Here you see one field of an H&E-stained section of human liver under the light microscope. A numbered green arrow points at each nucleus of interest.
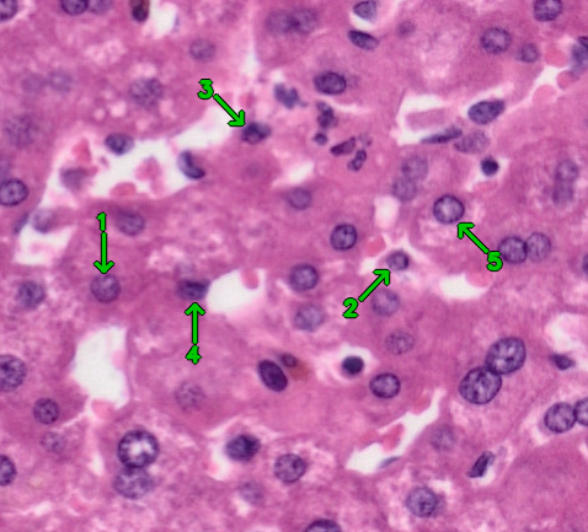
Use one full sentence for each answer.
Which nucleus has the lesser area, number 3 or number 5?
With nucleus 5 about 1.5 times its size, nucleus 3 is the smaller of the two.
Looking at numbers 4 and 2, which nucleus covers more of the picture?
Nucleus 4 is larger, with an area about 1.5 times that of nucleus 2.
